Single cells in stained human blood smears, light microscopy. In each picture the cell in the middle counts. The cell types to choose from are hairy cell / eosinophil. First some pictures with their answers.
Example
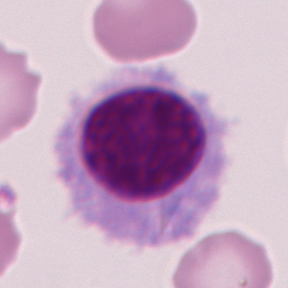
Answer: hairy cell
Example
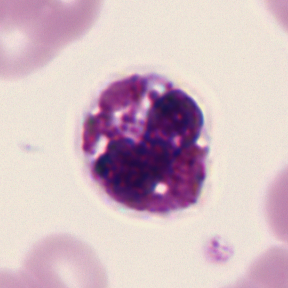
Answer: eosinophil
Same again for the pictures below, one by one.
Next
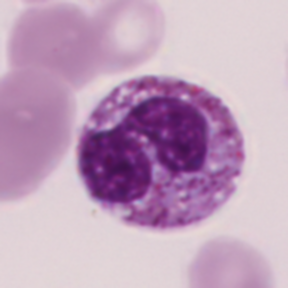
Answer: eosinophil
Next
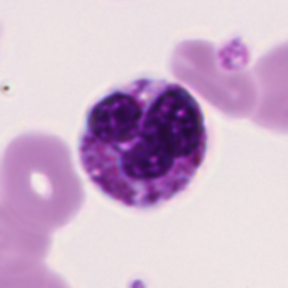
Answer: eosinophil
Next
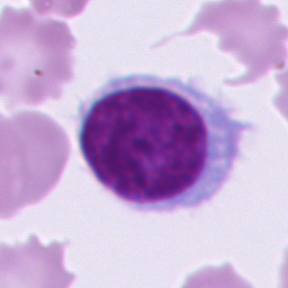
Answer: hairy cell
